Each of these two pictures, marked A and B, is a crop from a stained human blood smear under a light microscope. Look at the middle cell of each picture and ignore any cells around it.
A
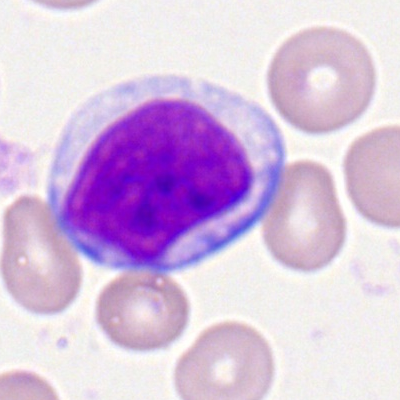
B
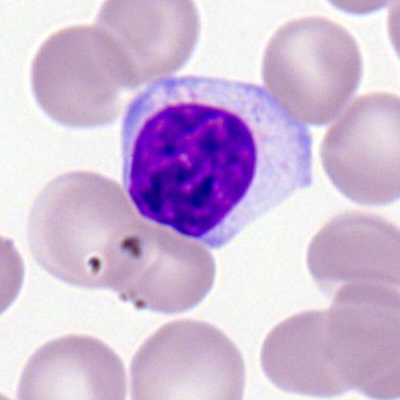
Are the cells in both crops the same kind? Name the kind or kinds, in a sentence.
No, while a blast is found in crop A, a lymphocyte is found in crop B.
